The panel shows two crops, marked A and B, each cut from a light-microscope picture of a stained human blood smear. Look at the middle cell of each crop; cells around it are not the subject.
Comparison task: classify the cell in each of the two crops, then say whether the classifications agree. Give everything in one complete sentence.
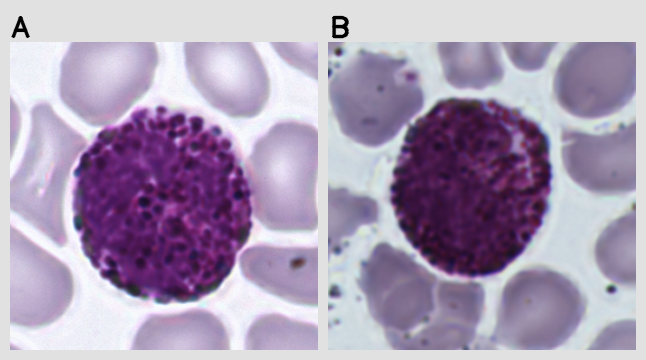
Yes, put down basophils for both crops.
